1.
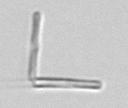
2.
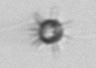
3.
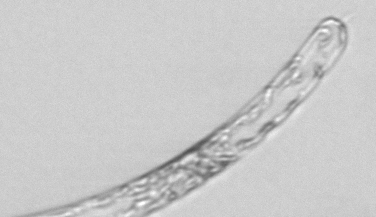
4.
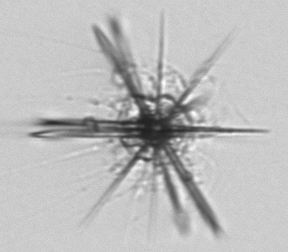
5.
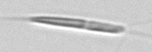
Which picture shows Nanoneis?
Picture 1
